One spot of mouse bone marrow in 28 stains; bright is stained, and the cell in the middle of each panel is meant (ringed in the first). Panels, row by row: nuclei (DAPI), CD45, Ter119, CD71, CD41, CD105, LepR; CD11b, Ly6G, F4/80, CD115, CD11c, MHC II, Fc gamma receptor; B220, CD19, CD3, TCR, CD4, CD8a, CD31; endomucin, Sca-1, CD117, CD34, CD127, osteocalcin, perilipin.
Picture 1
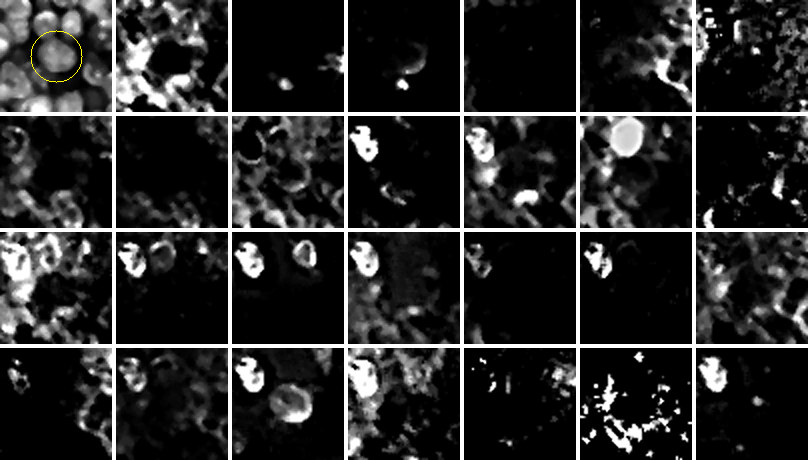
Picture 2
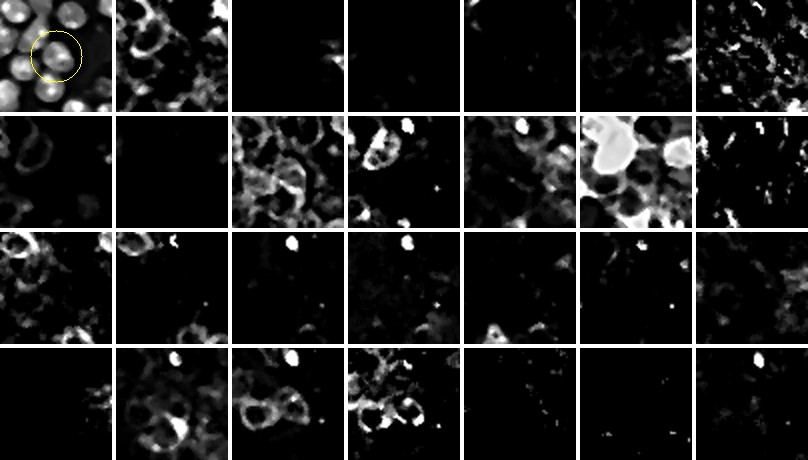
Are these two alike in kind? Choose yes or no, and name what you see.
No. First a megakaryocyte-erythroid progenitor, second a KLS stem or progenitor cell.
